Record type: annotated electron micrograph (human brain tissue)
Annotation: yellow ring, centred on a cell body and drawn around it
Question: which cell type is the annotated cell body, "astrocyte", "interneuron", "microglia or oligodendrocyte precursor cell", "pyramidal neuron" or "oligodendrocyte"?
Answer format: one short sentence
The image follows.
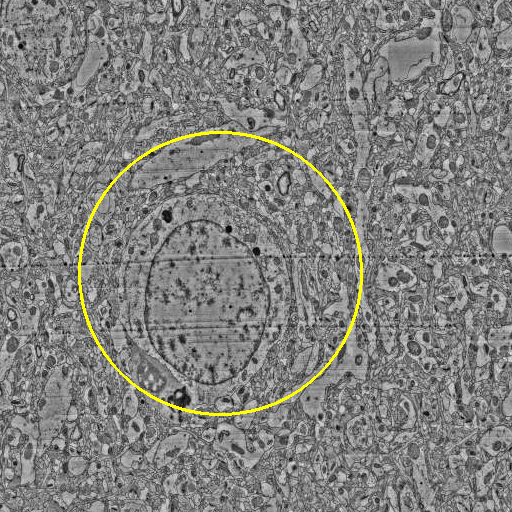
The annotated cell body is that of a pyramidal neuron.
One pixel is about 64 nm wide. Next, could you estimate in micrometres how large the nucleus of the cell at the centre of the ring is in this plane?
About 11 by 8 micrometers, in this plane.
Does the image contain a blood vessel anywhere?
No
